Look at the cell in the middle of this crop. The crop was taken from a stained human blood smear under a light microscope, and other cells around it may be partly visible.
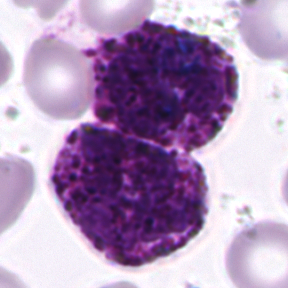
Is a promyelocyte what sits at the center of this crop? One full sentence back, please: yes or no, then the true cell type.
No, the middle of the crop holds a basophil, not a promyelocyte.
